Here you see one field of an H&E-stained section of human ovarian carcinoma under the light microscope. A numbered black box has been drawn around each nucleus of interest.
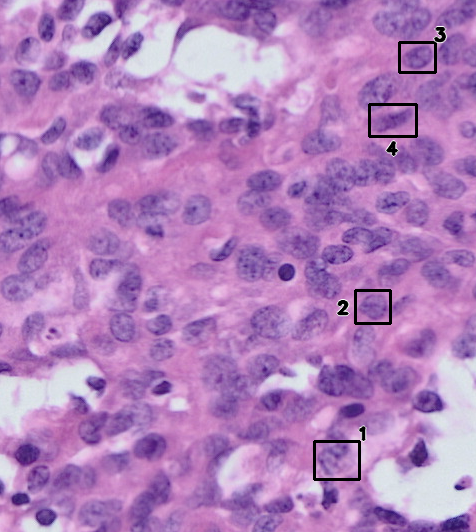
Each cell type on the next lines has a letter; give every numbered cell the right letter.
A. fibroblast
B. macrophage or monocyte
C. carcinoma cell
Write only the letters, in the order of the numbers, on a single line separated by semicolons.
B; C; C; C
